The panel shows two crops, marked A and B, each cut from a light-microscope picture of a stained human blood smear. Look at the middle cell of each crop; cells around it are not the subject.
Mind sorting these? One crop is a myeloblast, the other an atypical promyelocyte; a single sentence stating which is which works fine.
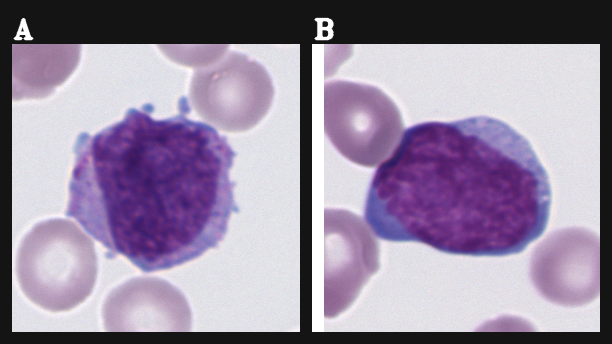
Crop A is to be labelled an atypical promyelocyte, and crop B a myeloblast.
